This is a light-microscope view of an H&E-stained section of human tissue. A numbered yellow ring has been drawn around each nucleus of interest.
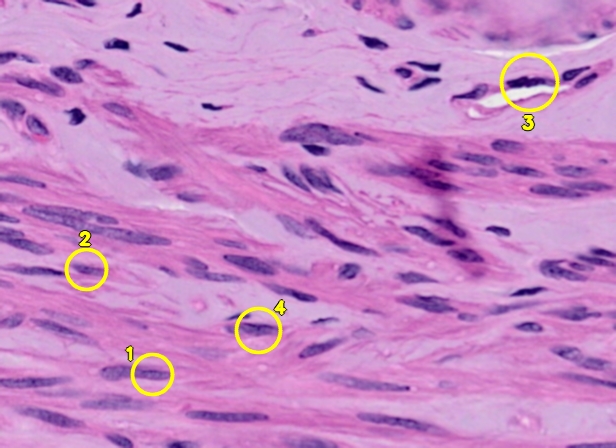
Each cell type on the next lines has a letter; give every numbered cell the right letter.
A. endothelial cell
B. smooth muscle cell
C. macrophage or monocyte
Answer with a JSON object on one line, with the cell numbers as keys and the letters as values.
{"1": "B", "2": "B", "3": "A", "4": "B"}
